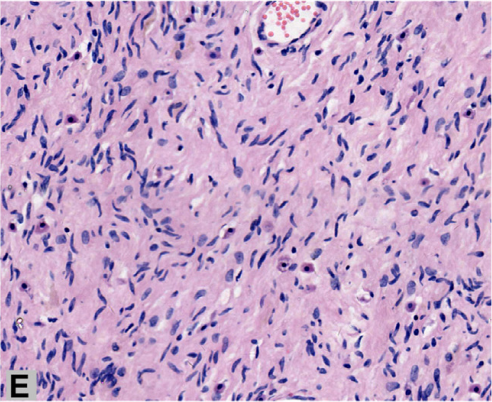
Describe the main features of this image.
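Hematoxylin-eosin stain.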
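This field shows loose spindle cells with wavy nuclei set in an abundant stroma. The nuclei are slender, dark blue, and many are curved or wavy, with little visible cytoplasm around them. The cells are loosely and irregularly spaced in a pale pink, finely fibrillar background. A small blood vessel containing red blood cells lies at the top of the field. A few scattered cells have rounder nuclei and granular cytoplasm among the spindle cells.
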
